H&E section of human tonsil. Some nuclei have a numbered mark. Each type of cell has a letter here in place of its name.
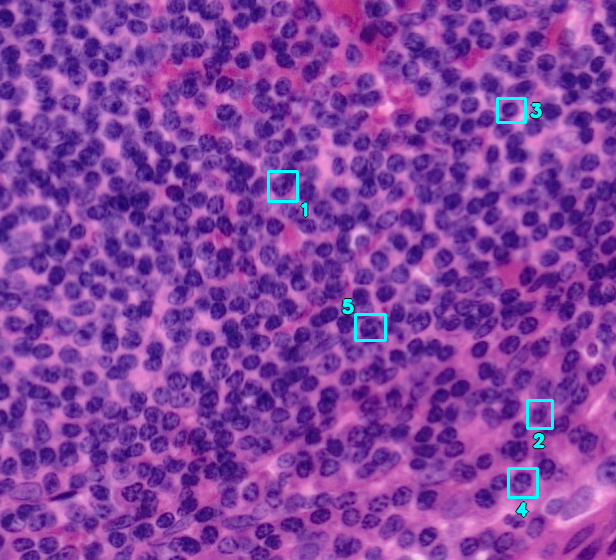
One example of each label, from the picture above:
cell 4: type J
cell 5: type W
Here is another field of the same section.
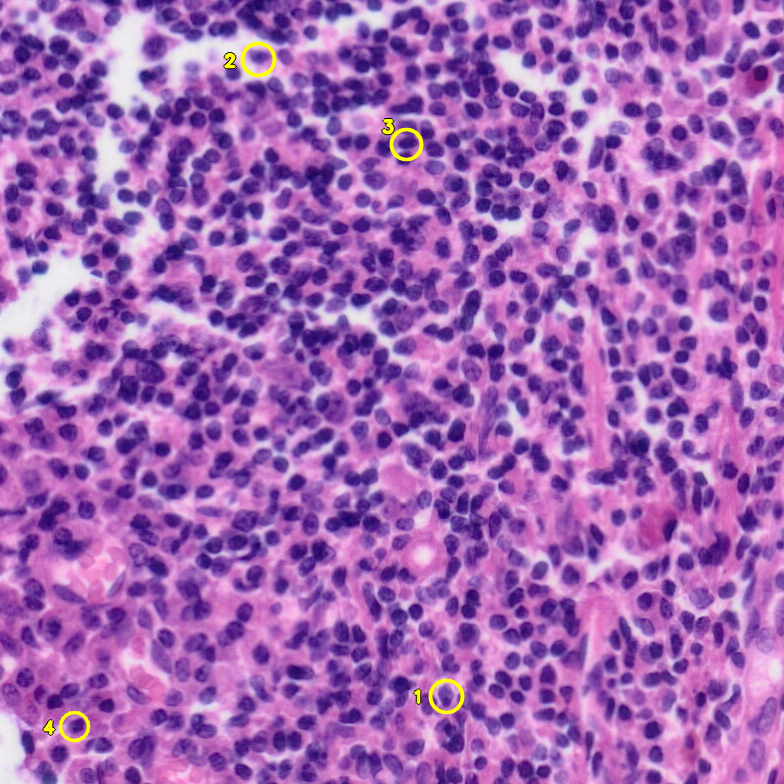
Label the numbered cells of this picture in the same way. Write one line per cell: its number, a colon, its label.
1: type W
2: type W
3: type W
4: type J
